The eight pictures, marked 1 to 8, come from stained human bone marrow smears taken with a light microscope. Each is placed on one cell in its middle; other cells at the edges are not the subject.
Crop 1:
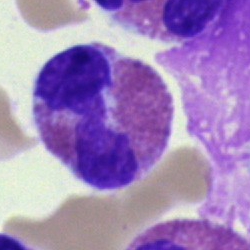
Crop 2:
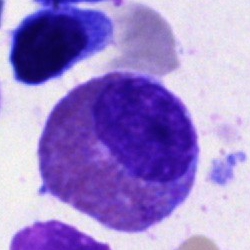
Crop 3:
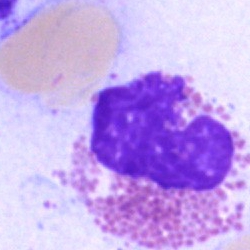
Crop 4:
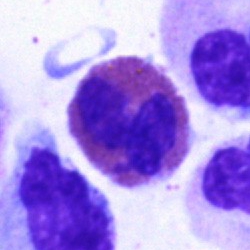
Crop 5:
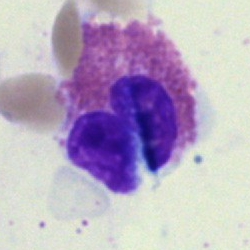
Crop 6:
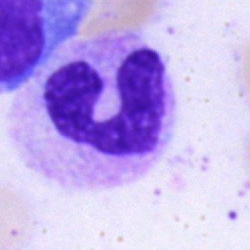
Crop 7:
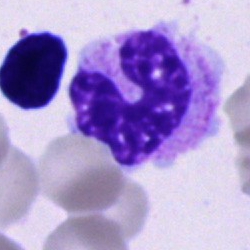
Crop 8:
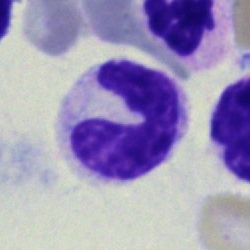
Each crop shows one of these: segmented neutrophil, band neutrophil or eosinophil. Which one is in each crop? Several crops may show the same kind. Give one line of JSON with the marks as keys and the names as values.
{"1": "eosinophil", "2": "eosinophil", "3": "eosinophil", "4": "eosinophil", "5": "eosinophil", "6": "band neutrophil", "7": "band neutrophil", "8": "band neutrophil"}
